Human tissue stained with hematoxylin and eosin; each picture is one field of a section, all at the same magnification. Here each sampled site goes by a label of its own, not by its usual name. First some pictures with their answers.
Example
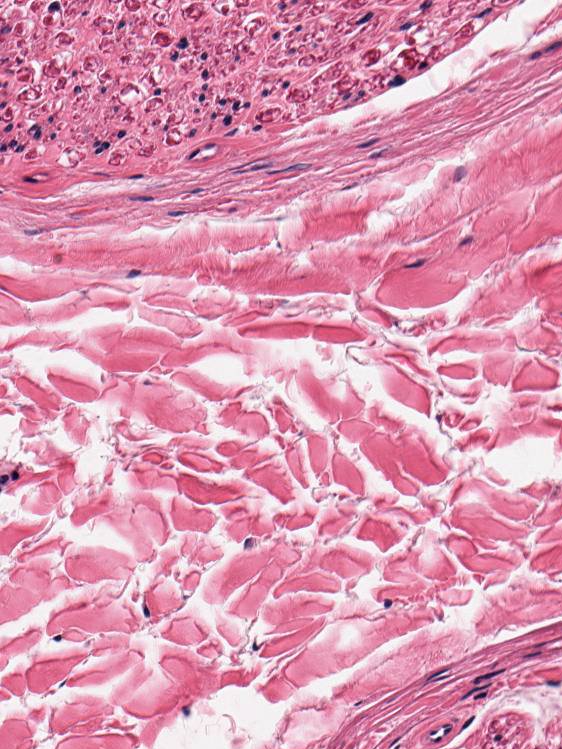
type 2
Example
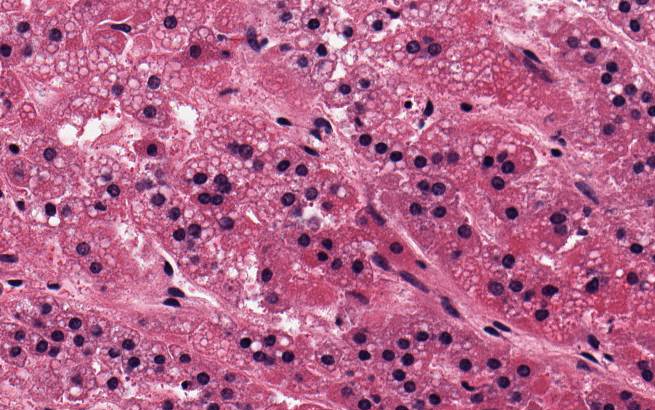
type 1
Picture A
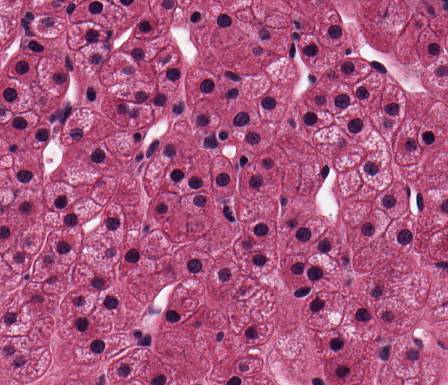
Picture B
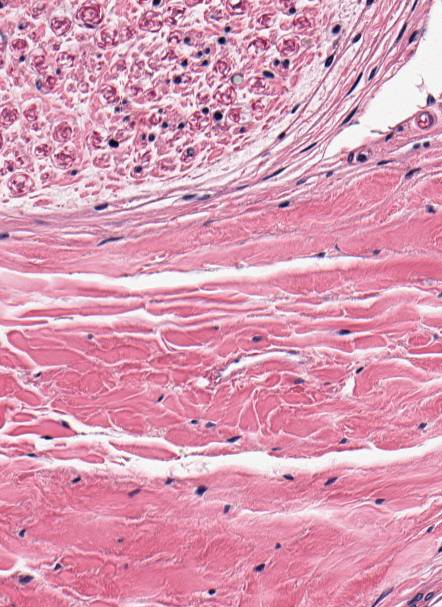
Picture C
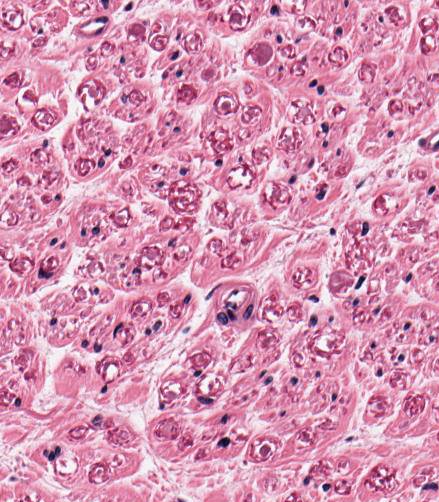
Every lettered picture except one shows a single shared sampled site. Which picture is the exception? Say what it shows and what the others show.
Exception: A, showing type 1. Remaining pictures: type 2.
